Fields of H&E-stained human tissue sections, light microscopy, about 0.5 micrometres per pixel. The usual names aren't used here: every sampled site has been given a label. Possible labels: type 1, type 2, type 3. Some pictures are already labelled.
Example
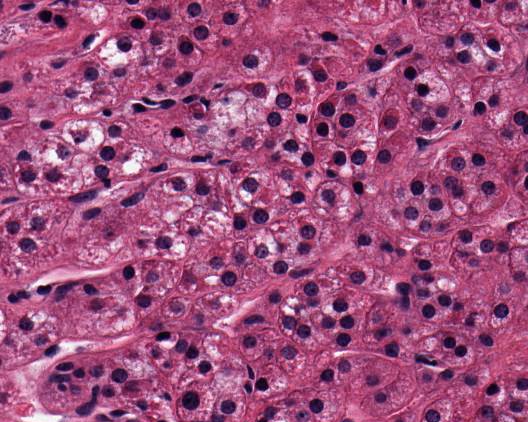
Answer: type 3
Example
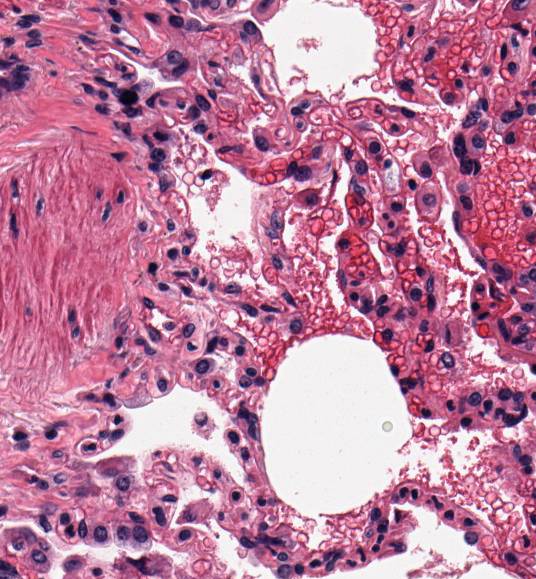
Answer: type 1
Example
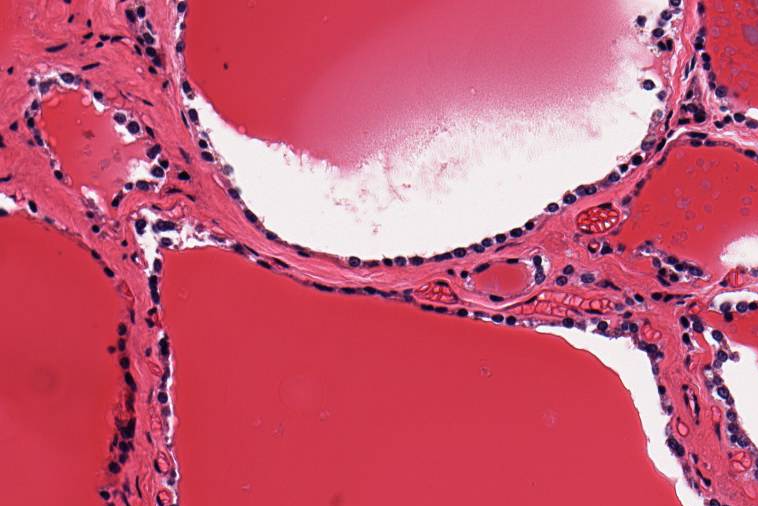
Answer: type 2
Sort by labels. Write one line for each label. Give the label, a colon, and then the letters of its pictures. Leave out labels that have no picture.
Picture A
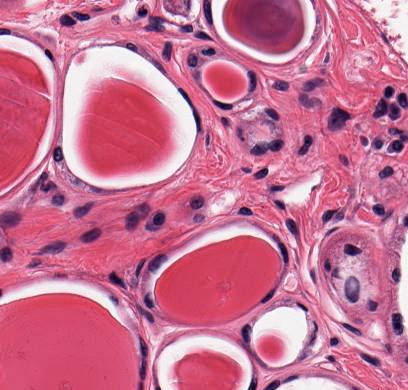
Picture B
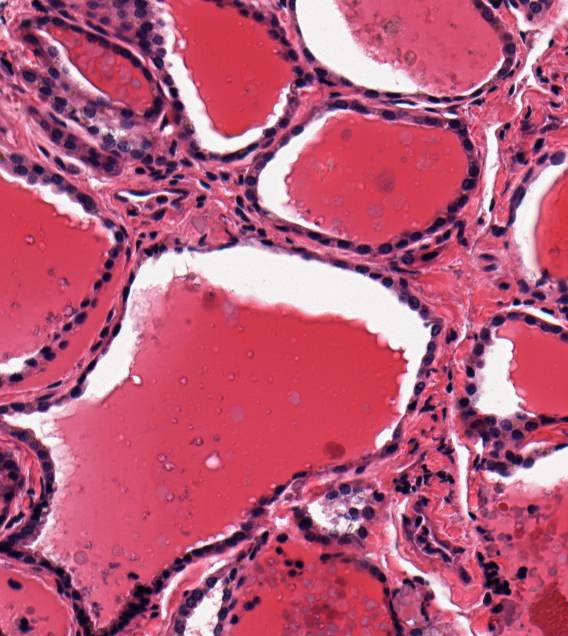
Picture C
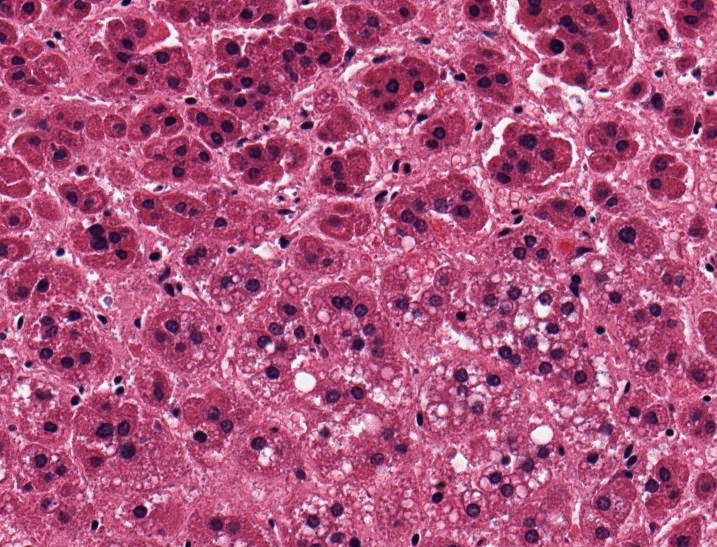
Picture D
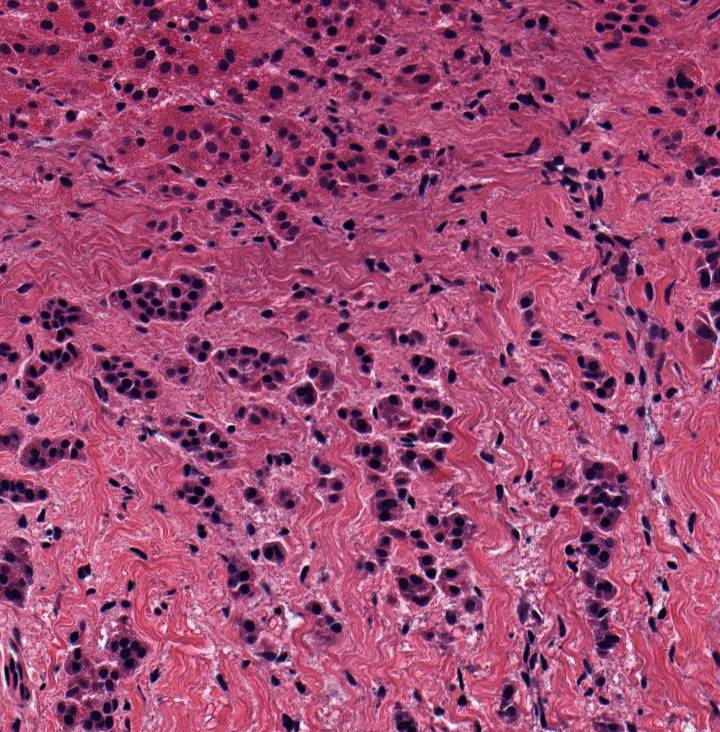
type 2: A, B
type 3: C, D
